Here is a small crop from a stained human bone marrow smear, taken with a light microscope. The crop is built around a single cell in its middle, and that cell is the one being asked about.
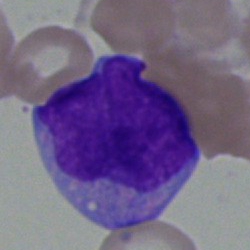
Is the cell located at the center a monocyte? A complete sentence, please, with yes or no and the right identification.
No, the central cell is identified not as a monocyte but as a blast.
